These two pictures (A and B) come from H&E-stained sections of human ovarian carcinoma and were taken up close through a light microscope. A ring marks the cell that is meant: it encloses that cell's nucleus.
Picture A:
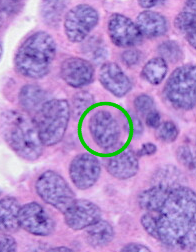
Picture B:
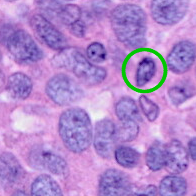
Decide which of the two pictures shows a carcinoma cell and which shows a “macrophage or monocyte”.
A: carcinoma cell
B: macrophage or monocyte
